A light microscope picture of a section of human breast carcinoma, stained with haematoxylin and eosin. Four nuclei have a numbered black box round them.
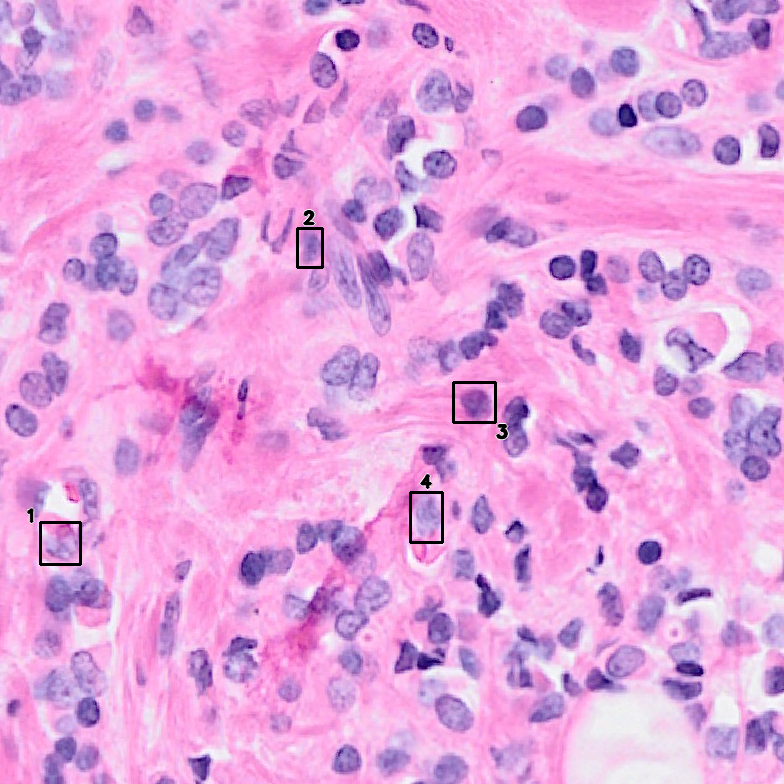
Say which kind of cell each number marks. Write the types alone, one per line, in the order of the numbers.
endothelial cell
endothelial cell
carcinoma cell
endothelial cell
